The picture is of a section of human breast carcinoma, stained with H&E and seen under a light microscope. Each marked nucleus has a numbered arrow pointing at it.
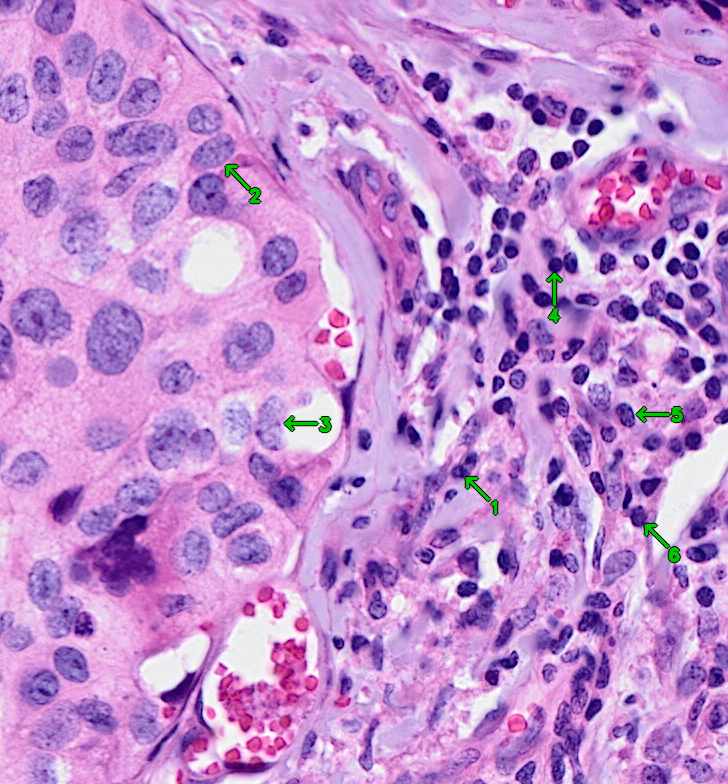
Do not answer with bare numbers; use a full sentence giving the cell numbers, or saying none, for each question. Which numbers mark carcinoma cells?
The cells numbered 2 and 3 are, by type, carcinoma cells.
